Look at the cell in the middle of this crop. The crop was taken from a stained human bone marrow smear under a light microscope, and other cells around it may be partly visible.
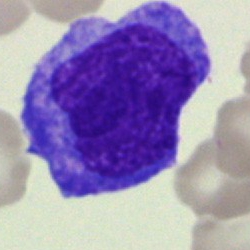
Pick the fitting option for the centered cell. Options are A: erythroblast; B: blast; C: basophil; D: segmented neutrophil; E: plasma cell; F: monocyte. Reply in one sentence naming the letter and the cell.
According to option B, which is correct, the cell in the middle is a blast.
